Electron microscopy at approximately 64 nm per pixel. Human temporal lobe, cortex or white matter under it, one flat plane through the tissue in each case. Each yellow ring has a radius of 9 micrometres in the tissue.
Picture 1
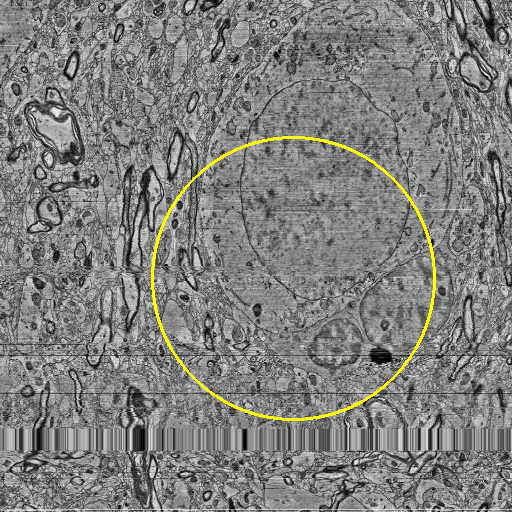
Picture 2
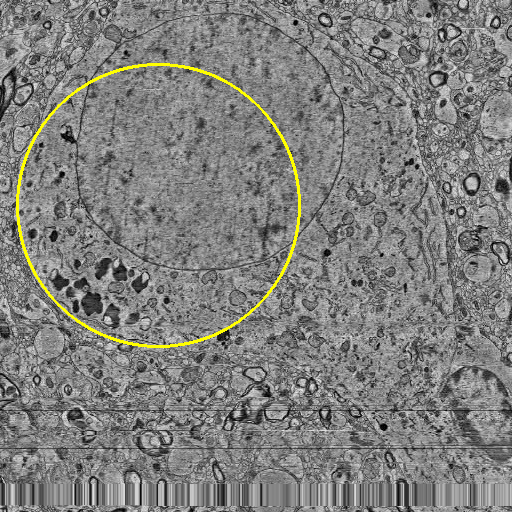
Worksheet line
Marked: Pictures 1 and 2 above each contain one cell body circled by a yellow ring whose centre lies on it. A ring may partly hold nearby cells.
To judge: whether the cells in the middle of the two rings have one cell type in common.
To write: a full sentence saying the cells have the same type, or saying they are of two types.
The cells in the middle of the rings in Picture 1 and Picture 2 have the same type.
